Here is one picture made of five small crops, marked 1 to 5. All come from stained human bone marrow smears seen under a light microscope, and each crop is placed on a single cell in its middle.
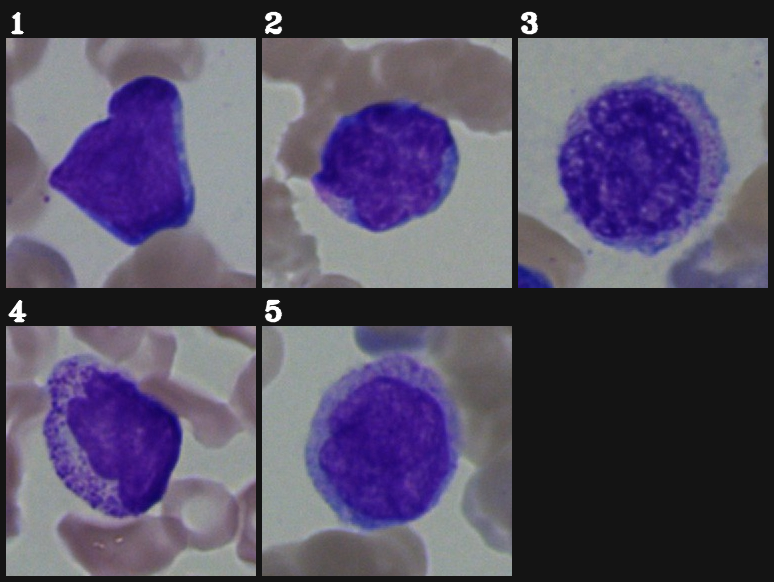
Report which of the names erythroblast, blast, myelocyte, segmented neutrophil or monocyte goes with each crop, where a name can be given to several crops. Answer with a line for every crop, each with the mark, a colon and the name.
1: blast
2: blast
3: myelocyte
4: myelocyte
5: monocyte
